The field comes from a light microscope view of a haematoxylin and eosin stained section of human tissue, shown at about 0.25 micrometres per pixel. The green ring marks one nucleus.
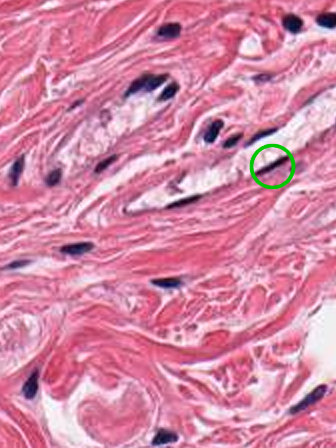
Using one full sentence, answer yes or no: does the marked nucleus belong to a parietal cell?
No, it is not a parietal cell but a supporting cell to which the marked nucleus is assigned.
